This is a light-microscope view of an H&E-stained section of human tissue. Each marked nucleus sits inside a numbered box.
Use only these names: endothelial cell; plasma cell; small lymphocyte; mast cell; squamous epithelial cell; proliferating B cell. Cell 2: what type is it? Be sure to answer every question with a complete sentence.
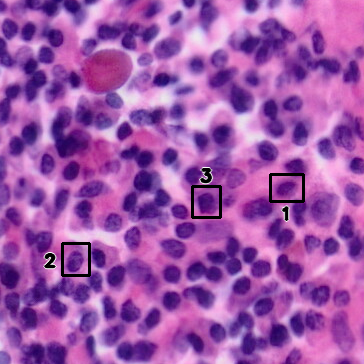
The cell that is numbered 2 is a plasma cell.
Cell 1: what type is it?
The numbered cell 1 in this field is an endothelial cell.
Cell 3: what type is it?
The marked cell bearing number 3 is an endothelial cell.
